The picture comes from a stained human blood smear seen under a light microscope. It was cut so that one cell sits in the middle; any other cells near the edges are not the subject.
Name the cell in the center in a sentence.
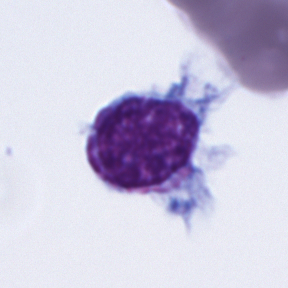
In the middle of this smear crop is a hairy cell.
